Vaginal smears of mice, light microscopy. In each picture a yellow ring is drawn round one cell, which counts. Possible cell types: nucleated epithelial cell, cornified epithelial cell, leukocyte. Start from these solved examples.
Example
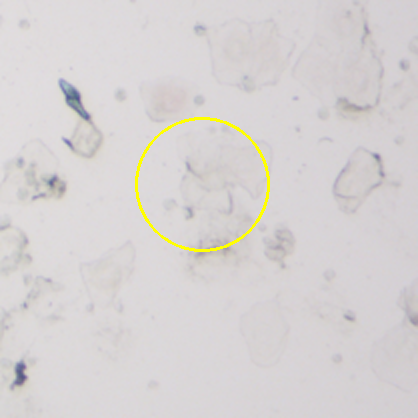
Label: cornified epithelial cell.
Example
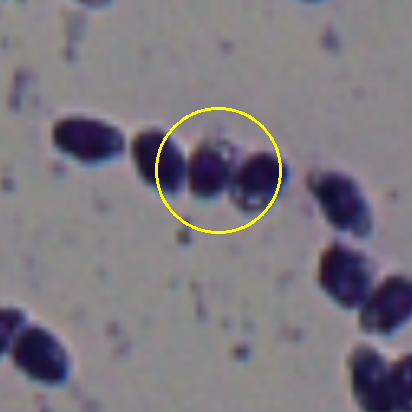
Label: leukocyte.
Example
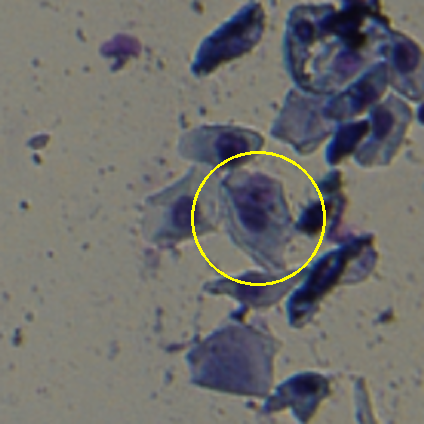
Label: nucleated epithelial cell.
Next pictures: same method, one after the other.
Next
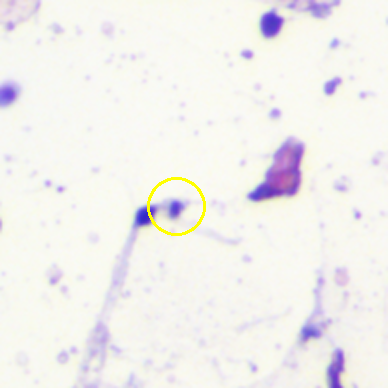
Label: leukocyte.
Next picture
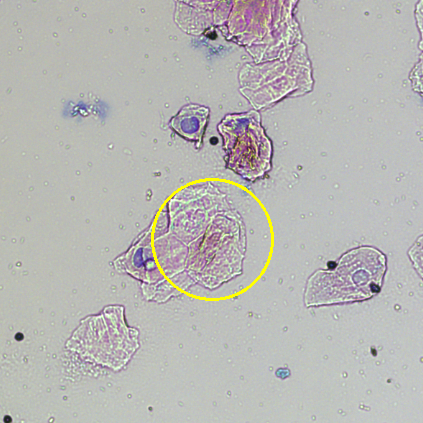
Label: cornified epithelial cell.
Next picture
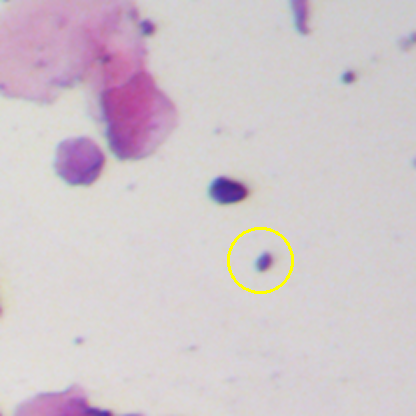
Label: leukocyte.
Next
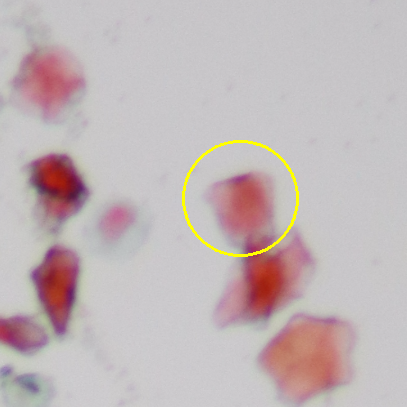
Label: cornified epithelial cell.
